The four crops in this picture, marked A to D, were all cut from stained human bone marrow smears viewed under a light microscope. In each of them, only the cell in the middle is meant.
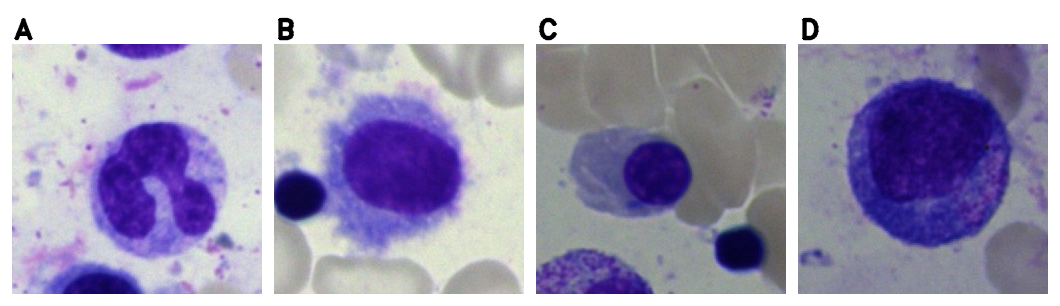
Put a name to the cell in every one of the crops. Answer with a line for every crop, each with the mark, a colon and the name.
A: monocyte
B: hairy cell
C: erythroblast
D: promyelocyte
